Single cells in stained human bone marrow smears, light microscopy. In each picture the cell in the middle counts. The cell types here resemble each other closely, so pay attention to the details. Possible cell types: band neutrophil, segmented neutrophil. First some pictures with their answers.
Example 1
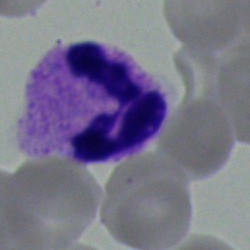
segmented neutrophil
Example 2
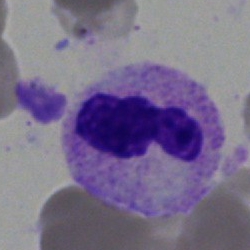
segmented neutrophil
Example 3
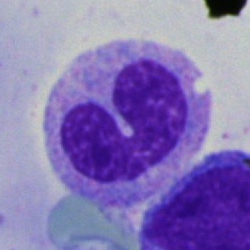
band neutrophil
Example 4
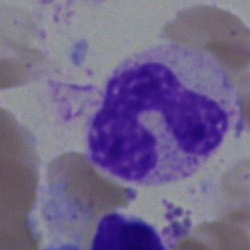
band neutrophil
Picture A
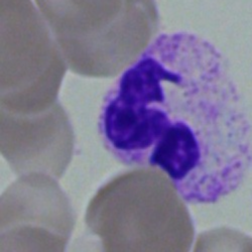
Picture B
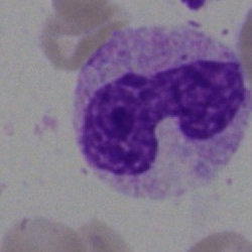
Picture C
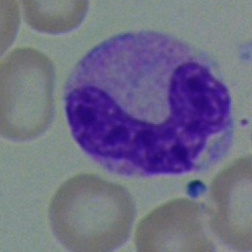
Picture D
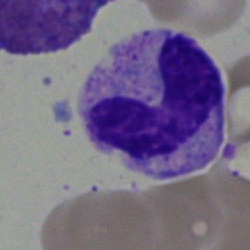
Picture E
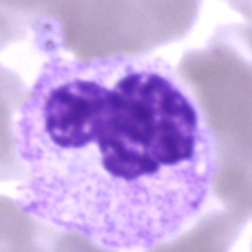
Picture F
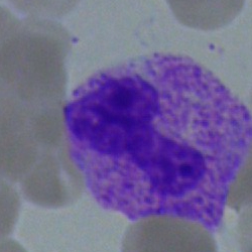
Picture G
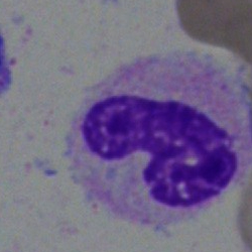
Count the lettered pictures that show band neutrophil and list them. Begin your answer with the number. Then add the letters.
5, namely B, C, D, F, G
